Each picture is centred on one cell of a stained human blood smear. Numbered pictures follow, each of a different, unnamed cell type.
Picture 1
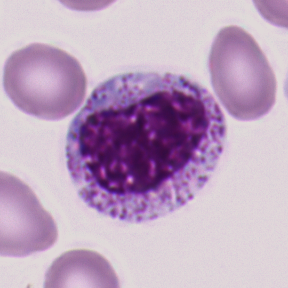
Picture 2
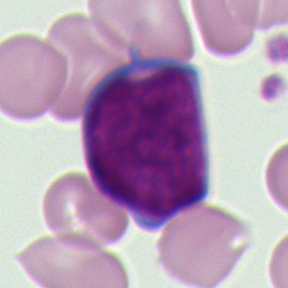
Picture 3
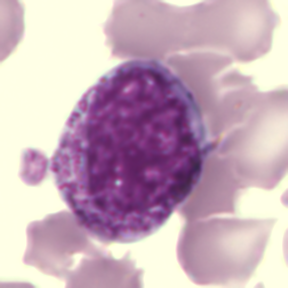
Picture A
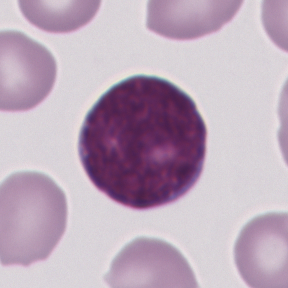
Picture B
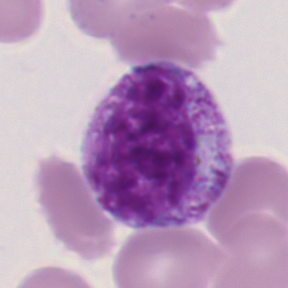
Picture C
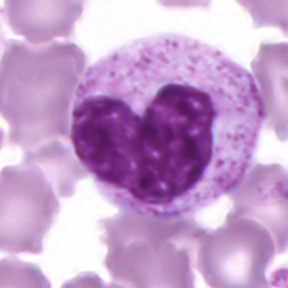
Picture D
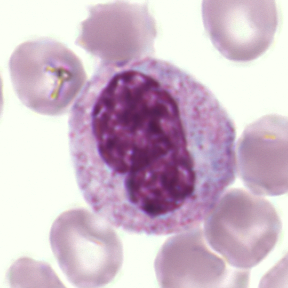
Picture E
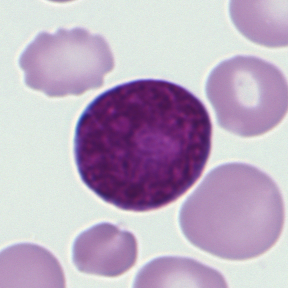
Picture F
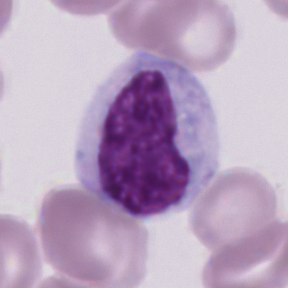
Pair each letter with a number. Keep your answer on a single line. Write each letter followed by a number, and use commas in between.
A 2, B 3, C 1, D 1, E 2, F 1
